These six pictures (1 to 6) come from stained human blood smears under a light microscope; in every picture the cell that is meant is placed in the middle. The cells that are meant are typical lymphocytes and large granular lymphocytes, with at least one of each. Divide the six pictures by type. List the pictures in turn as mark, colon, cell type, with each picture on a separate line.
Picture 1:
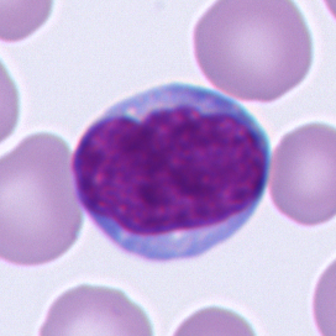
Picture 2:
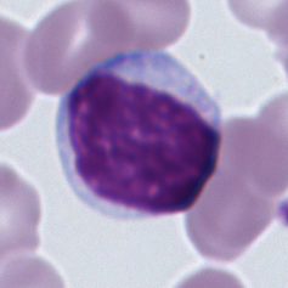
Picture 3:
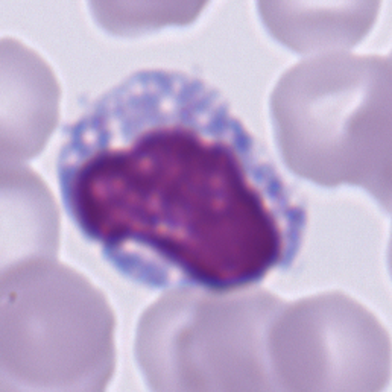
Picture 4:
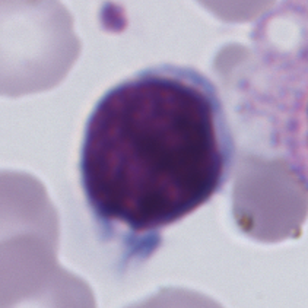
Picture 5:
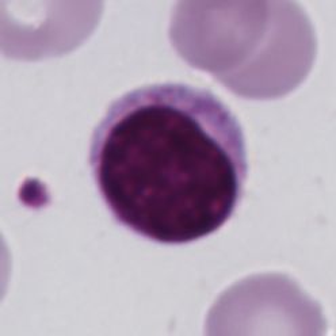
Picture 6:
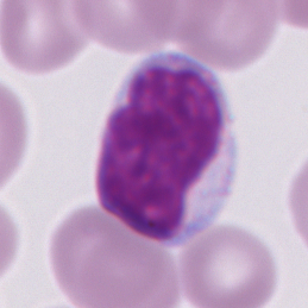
1: typical lymphocyte
2: large granular lymphocyte
3: typical lymphocyte
4: typical lymphocyte
5: large granular lymphocyte
6: large granular lymphocyte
